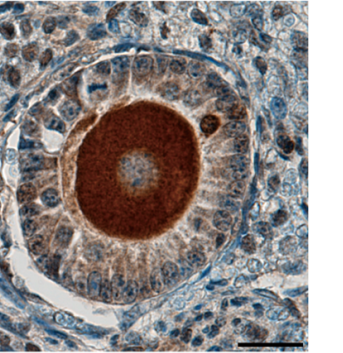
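Ovarian secondary follicle with a large central oocyte surrounded by several layers of granulosa cells. The oocyte cytoplasm is stained evenly dark brown, while its round nucleus in the centre is pale with bluish tint. The granulosa cells are columnar to cuboidal with blue nuclei and lightly brown cytoplasm, radially arranged around the oocyte. A thin band of flattened cells and a narrow cleft separate the follicle from the surrounding stroma with blue nuclei.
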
